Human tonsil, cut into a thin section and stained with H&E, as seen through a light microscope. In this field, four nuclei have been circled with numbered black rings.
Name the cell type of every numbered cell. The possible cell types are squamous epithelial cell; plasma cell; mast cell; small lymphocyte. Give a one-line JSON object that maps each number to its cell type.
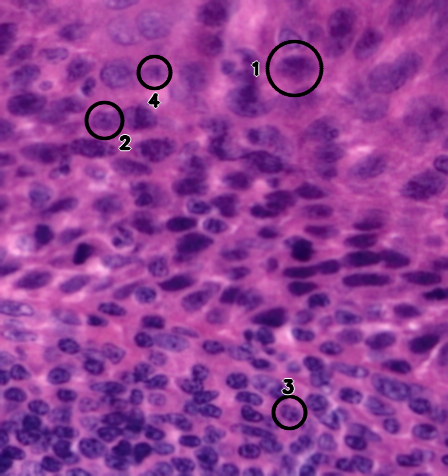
{"1": "squamous epithelial cell", "2": "squamous epithelial cell", "3": "plasma cell", "4": "squamous epithelial cell"}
